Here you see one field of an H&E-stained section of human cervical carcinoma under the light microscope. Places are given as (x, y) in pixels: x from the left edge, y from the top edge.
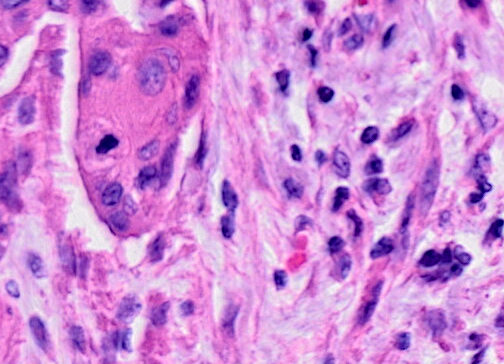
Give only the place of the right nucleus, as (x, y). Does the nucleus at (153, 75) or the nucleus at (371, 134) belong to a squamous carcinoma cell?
(153, 75)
